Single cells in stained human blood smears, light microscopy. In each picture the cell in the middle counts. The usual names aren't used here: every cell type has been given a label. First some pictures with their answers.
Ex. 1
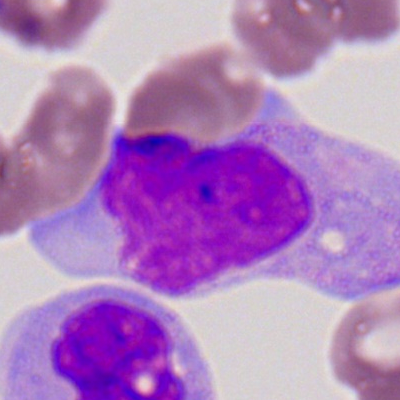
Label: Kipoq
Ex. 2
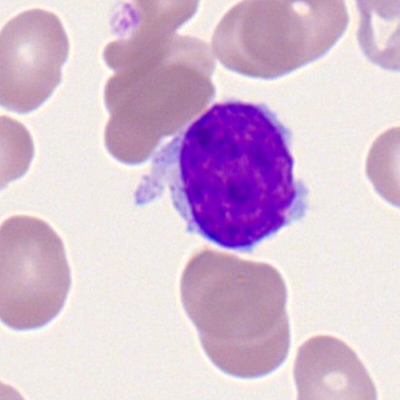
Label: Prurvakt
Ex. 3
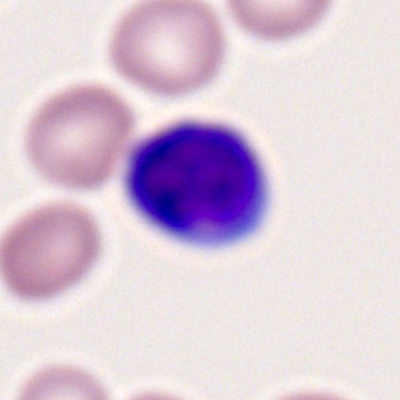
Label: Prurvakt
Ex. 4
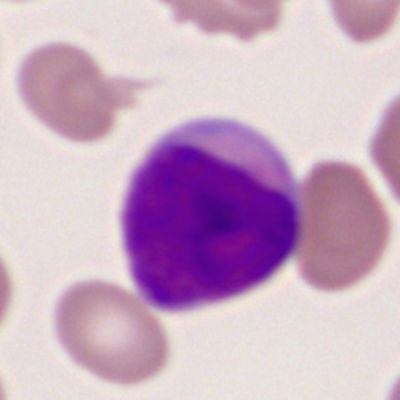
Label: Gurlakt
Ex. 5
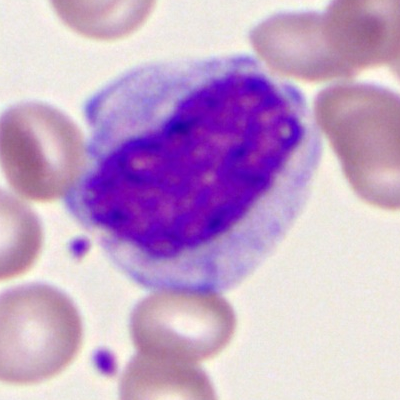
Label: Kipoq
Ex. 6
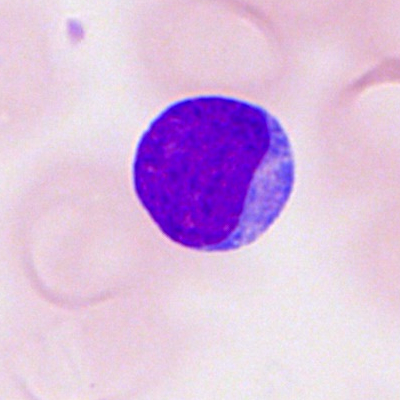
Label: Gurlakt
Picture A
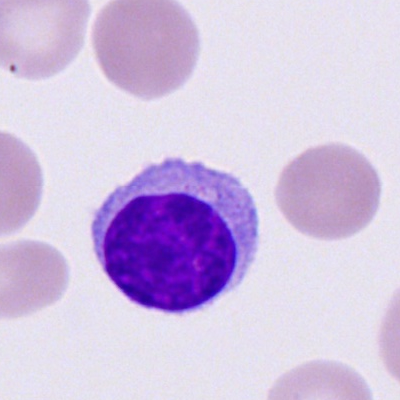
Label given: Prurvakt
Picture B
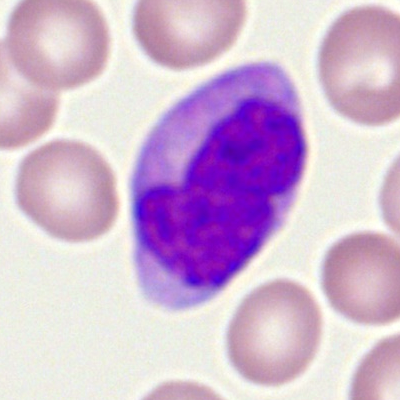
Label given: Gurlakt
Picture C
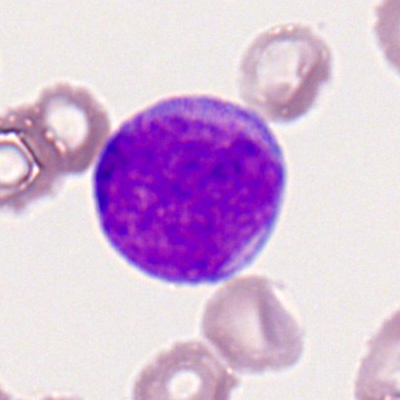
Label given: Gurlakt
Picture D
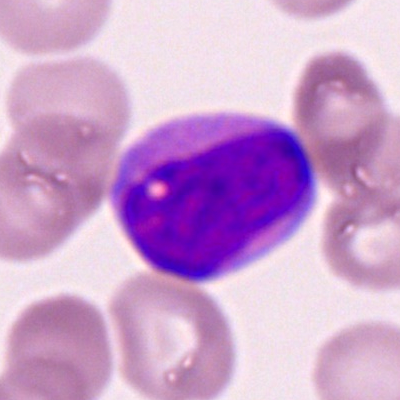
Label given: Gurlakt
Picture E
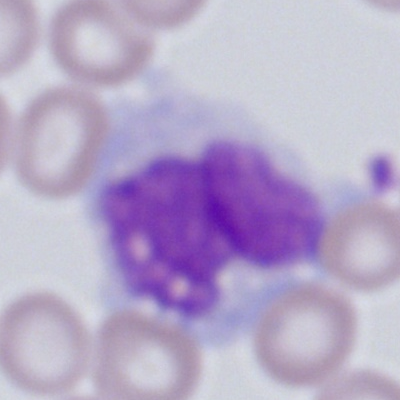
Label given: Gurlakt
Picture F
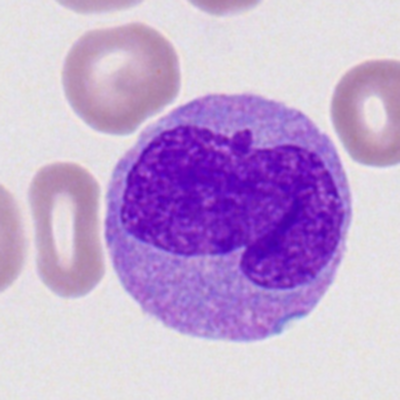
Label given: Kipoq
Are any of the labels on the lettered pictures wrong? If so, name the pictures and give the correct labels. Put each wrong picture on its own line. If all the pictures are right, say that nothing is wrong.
Wrong: B (Gurlakt); correct: Kipoq
Wrong: E (Gurlakt); correct: Kipoq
